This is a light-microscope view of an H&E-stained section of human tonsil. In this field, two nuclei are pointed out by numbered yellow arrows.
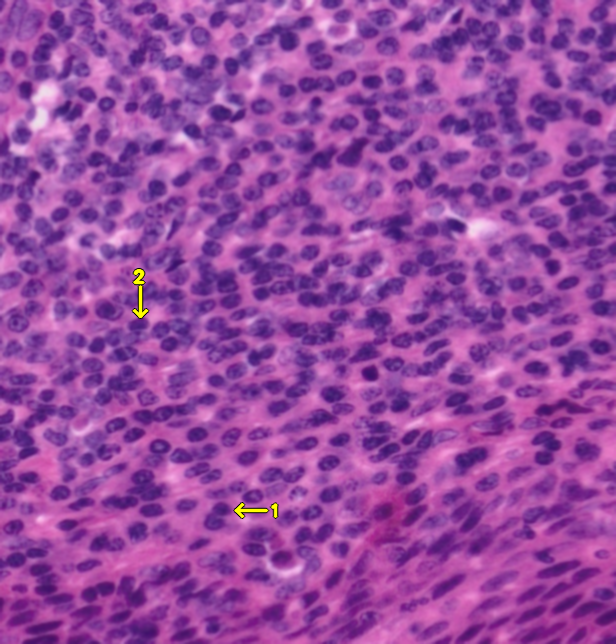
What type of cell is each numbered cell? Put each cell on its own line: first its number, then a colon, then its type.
1: plasma cell
2: small lymphocyte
